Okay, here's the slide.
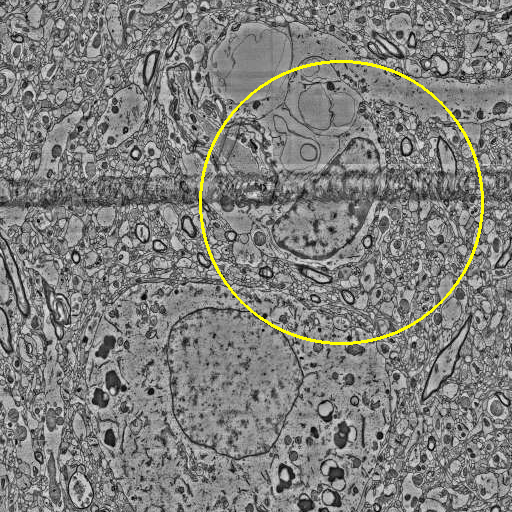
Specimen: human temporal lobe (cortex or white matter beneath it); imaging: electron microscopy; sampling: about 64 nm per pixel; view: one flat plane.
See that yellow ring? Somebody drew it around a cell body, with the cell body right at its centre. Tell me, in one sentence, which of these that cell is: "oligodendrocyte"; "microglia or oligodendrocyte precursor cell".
The cell in the middle of the ring is a microglial cell or oligodendrocyte precursor cell.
